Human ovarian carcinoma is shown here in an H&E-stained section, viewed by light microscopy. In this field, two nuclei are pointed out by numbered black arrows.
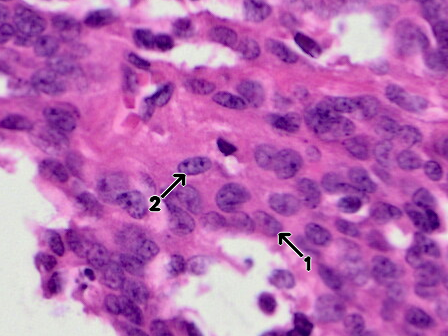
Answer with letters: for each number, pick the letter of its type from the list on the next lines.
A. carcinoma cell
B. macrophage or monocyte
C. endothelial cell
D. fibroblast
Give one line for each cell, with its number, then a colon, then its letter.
1: A
2: B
